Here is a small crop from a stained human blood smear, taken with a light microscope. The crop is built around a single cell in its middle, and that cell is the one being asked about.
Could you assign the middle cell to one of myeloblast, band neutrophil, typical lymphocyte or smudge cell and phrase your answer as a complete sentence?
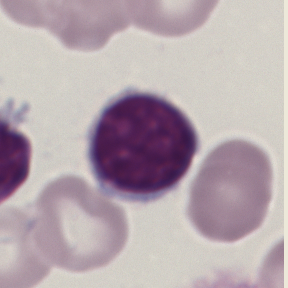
As for the cell in the middle, it is a typical lymphocyte.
